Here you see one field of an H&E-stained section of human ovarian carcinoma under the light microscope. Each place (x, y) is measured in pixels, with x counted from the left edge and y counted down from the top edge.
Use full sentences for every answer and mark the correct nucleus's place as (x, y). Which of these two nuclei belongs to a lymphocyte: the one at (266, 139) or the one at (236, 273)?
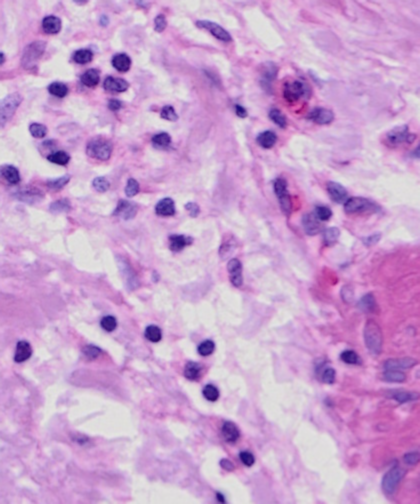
The nucleus at (266, 139) is part of a lymphocyte, while the other is not.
